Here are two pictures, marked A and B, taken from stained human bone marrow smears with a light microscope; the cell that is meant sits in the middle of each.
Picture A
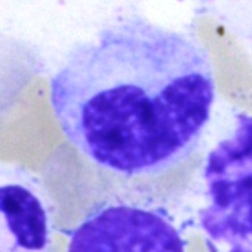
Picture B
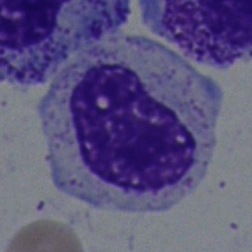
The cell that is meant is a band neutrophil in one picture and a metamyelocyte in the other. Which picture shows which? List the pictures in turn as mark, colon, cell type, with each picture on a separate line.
A: band neutrophil
B: metamyelocyte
